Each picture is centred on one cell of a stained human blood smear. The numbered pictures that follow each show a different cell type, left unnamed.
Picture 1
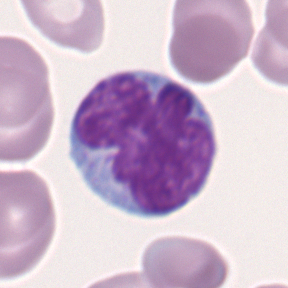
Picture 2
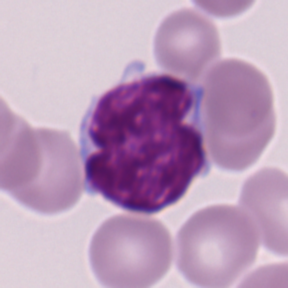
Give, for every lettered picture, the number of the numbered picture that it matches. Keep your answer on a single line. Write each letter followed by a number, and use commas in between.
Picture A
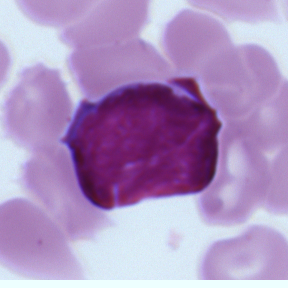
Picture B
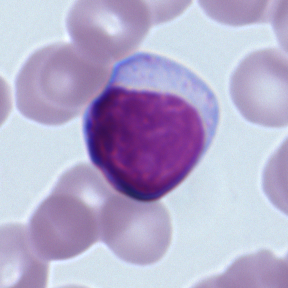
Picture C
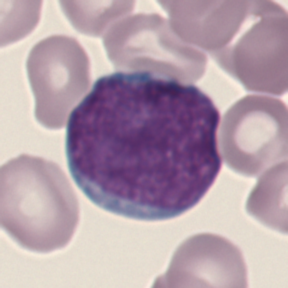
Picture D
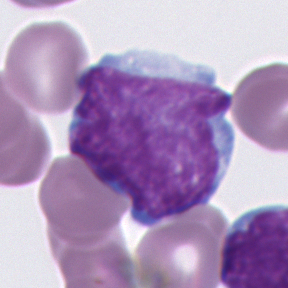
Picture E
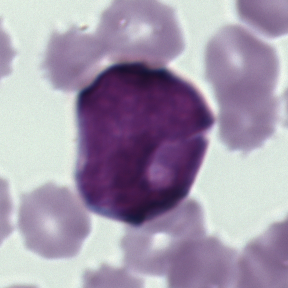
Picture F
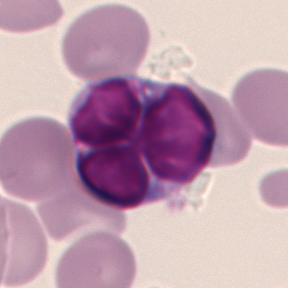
A 1, B 2, C 1, D 1, E 1, F 2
